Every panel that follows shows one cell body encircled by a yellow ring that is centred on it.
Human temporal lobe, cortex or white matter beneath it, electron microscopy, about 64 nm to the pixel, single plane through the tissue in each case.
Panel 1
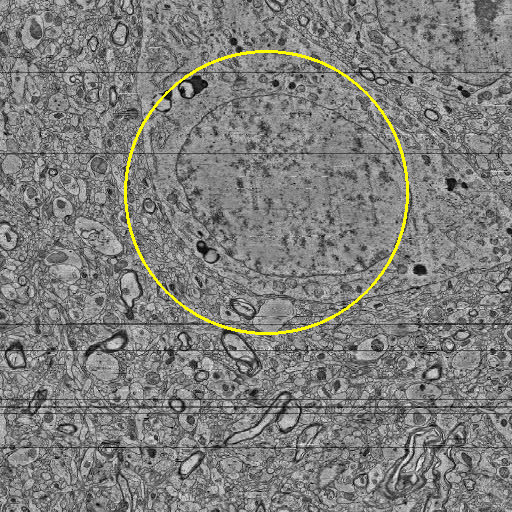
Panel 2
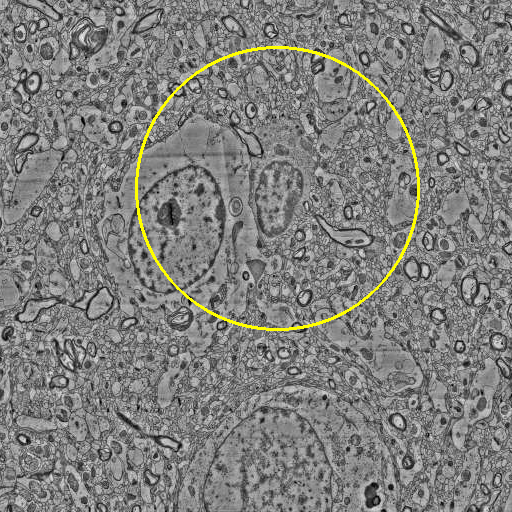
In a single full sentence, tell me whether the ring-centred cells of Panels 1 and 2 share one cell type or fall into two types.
In Panel 1 and Panel 2, the cells at the ring centres fall into two types.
